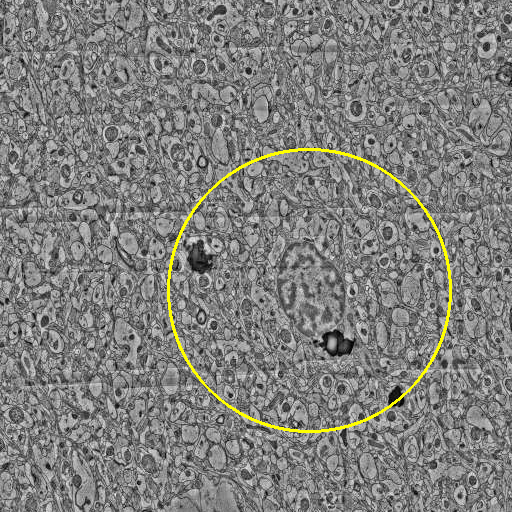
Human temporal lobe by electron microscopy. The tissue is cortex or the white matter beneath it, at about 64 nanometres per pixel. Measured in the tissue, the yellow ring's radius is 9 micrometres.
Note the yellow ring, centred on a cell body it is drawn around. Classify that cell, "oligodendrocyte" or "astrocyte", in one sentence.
The cell the ring is centred on is an oligodendrocyte.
